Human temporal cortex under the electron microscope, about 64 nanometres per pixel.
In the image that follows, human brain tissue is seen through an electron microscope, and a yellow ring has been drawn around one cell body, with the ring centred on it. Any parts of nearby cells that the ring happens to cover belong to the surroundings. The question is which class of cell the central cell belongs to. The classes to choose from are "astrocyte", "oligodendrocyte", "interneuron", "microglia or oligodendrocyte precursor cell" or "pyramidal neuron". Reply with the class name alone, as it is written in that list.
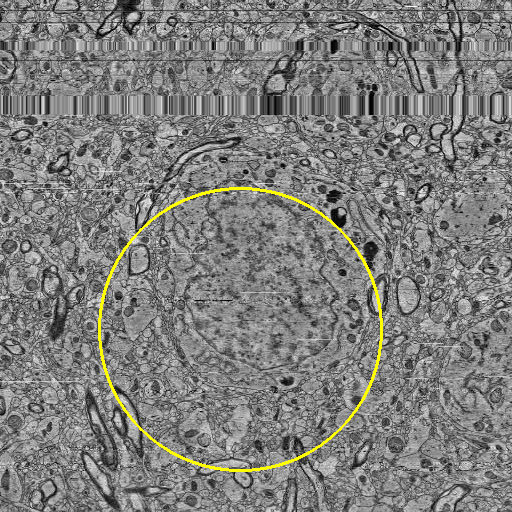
interneuron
